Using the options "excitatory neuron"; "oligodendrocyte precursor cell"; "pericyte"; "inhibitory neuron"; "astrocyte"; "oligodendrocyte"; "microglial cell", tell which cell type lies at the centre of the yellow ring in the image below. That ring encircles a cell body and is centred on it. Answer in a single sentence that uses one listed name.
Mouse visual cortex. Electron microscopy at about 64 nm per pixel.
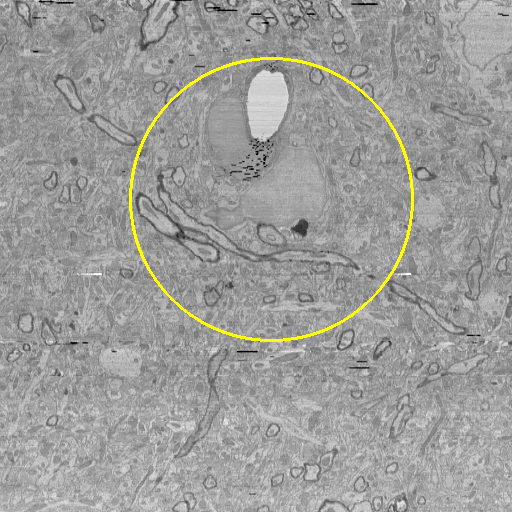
At the centre of the yellow ring lies the body of a microglial cell.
